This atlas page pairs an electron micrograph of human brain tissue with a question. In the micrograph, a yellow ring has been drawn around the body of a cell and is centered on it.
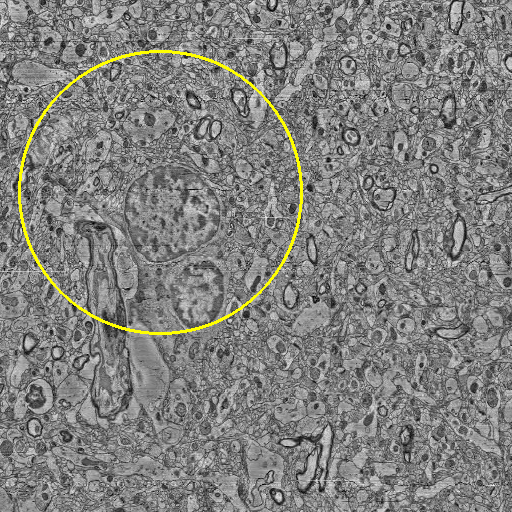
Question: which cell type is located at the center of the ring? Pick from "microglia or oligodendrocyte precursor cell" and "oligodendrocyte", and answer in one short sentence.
Located at the center of the ring is an oligodendrocyte.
